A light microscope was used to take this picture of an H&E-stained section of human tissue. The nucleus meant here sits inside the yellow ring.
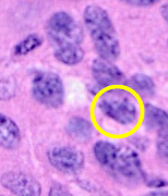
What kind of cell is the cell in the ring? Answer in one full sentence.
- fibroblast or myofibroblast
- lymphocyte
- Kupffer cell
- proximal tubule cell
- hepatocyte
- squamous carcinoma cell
In cell-type terms, the cell in the ring is a squamous carcinoma cell.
